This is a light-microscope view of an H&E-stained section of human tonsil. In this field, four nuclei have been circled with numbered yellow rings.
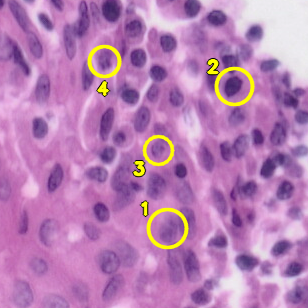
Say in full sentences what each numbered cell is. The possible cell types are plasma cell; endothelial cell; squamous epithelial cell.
Cells 1 and 3 are squamous epithelial cells. Cells 2 and 4 are plasma cells.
